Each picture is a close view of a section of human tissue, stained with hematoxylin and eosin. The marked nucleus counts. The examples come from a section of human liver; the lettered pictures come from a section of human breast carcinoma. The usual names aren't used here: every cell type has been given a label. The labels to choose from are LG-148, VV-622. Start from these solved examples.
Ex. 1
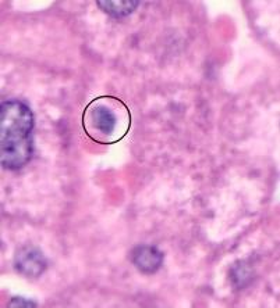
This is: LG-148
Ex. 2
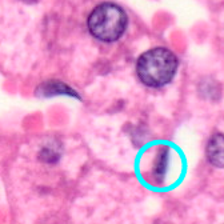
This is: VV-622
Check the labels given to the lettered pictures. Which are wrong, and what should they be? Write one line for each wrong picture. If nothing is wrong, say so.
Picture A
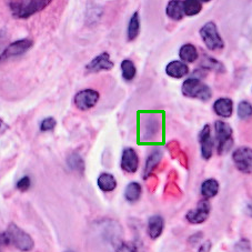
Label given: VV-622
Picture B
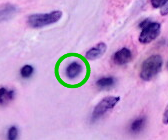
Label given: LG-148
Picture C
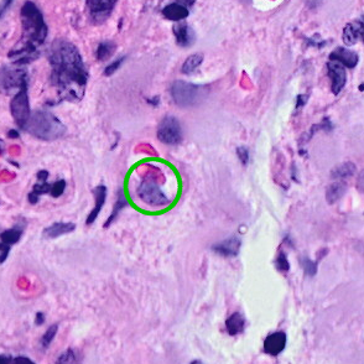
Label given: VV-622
All labels are correct.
